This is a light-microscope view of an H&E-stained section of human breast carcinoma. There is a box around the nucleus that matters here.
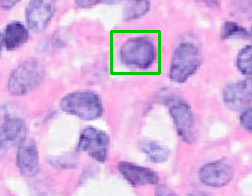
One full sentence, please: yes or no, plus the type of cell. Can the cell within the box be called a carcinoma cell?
Yes, the cell type of the cell within the box is that of a carcinoma cell.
